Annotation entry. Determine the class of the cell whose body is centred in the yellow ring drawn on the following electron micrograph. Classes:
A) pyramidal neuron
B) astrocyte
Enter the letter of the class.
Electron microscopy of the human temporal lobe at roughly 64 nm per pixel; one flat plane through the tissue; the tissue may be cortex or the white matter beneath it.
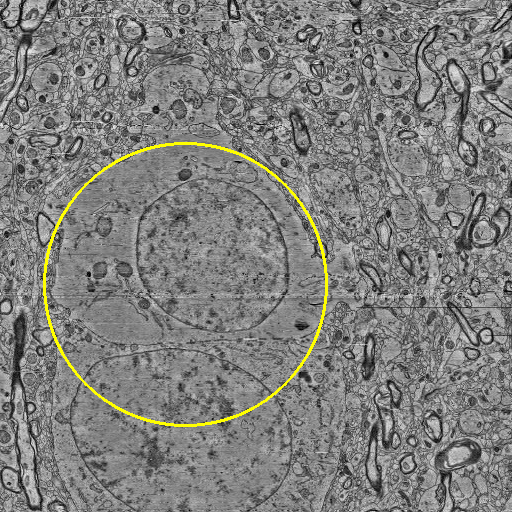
B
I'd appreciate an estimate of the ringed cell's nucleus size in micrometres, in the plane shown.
About 10 micrometres across, as seen in this plane.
